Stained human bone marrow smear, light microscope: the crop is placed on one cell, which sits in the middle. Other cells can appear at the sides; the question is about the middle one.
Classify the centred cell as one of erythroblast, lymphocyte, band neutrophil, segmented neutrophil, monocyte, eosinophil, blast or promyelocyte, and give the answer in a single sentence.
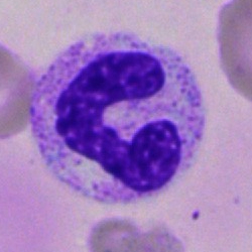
The cell in the middle of this crop is a segmented neutrophil.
